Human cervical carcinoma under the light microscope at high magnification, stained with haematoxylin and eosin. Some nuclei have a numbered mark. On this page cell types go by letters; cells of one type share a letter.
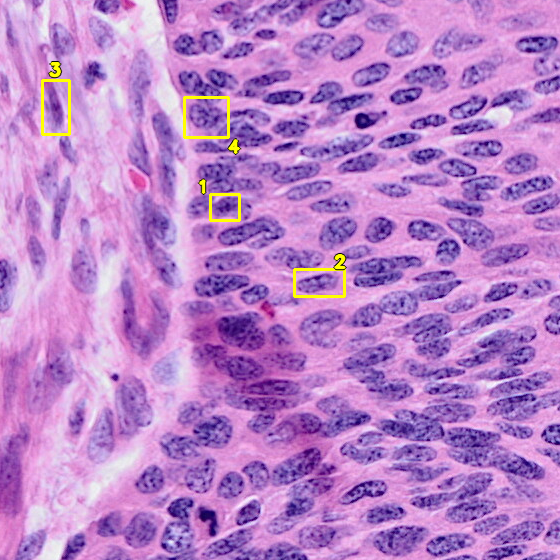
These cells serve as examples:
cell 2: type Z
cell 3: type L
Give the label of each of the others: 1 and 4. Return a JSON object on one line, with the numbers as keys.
{"1": "type Z", "4": "type Z"}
